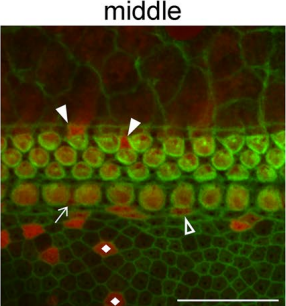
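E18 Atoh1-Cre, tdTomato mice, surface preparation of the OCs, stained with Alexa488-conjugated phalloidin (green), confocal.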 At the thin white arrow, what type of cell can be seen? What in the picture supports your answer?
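Inner phalangeal cells. The thin arrow points to a cell beside the innermost row of round green-rimmed cells.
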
